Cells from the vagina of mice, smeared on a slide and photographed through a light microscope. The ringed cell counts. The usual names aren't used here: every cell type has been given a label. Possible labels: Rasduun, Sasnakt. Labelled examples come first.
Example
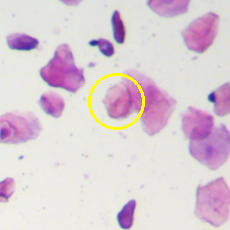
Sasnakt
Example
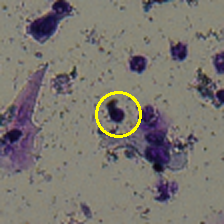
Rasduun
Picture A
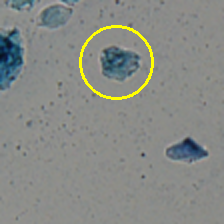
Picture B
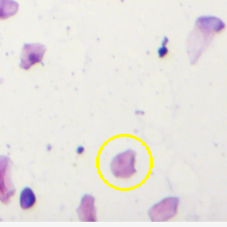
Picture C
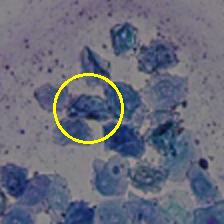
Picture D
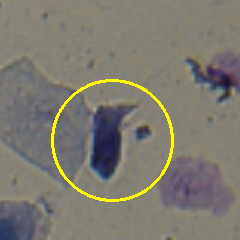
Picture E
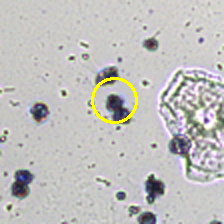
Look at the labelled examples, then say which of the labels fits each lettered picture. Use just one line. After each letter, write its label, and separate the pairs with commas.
A Sasnakt, B Sasnakt, C Sasnakt, D Sasnakt, E Rasduun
